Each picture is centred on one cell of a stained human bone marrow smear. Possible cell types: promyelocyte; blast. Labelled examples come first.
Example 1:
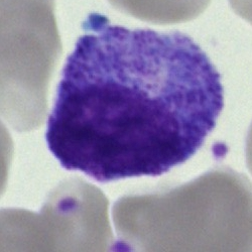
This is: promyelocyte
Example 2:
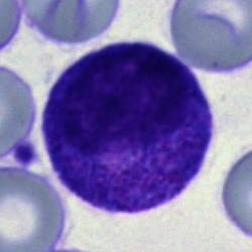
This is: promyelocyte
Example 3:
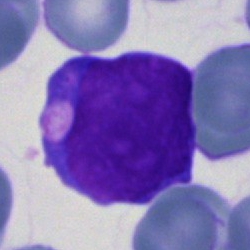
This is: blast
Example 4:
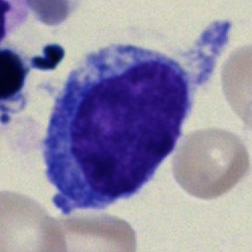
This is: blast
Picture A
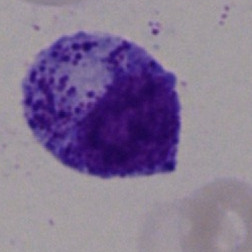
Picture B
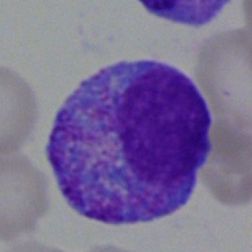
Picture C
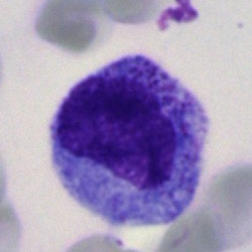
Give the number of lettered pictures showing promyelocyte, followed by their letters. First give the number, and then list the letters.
Count: 3 (A, B, C)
